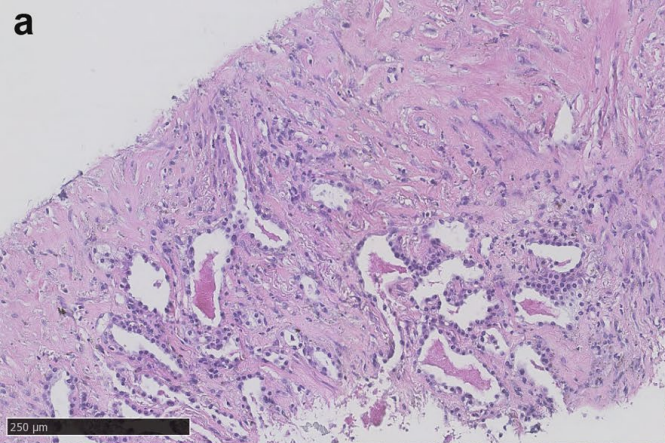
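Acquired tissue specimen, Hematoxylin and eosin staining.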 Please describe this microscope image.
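Tissue with interstitial fibrosis: dense pink collagenous stroma surrounds small spaces lined by a single layer of cuboidal epithelial cells with round dark nuclei. Several of these spaces hold homogeneous deep pink material, and scattered small round nucleated inflammatory cells lie in the stroma between them.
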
